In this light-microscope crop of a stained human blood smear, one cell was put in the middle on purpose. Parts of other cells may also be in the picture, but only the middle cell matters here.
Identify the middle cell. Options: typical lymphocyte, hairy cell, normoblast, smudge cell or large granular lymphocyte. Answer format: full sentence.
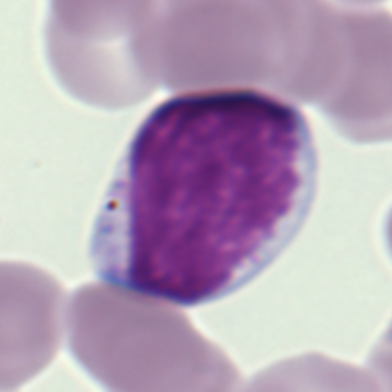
Centred in the crop is a large granular lymphocyte.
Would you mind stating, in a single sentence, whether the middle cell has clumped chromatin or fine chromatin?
The chromatin remains finely textured, with no coarse clumps to speak of.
